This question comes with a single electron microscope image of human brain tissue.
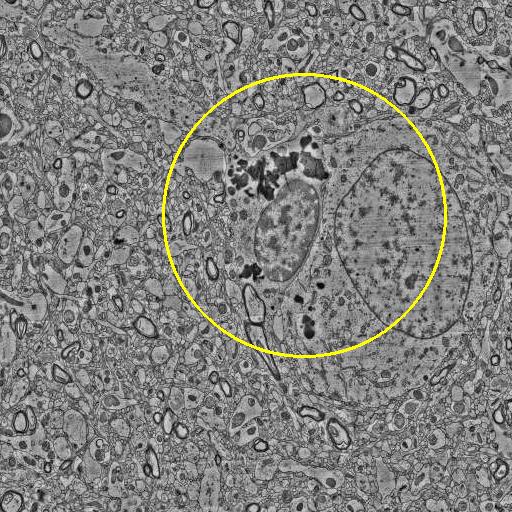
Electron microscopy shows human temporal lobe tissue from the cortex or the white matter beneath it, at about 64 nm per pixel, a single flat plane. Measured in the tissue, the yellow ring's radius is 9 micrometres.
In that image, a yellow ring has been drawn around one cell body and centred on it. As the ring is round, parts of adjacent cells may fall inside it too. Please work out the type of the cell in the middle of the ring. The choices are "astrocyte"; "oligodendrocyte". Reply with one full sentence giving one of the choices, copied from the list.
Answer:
Of the choices, an oligodendrocyte is the cell sitting in the middle of the ring.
